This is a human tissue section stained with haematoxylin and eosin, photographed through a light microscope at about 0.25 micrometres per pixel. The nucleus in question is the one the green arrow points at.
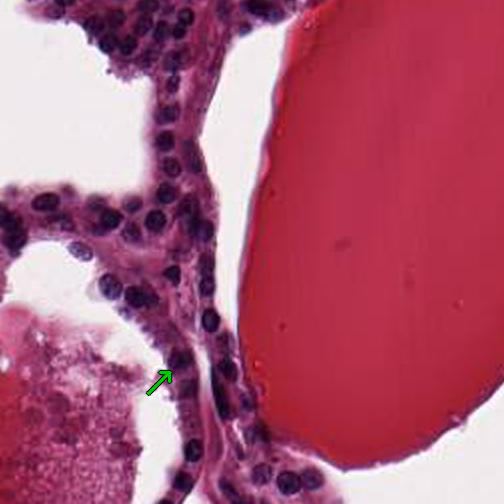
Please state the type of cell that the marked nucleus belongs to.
thyroid follicular cell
